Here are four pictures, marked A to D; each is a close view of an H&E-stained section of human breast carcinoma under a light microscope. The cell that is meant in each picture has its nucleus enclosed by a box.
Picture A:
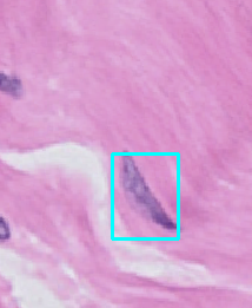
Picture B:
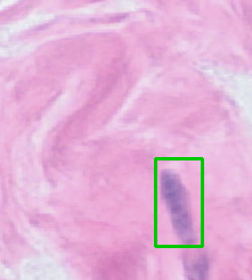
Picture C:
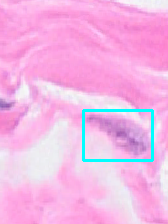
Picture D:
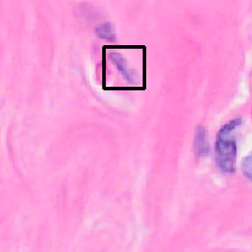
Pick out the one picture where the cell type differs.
D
